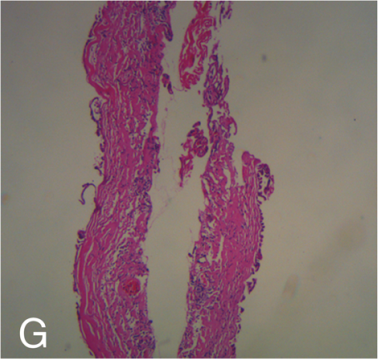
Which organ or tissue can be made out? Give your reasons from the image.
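Collagenous connective tissue. Two thin, wavy strips of tissue stained pink. The strips are made of layered, fibrous, eosinophilic material with scattered small purple nuclei.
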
